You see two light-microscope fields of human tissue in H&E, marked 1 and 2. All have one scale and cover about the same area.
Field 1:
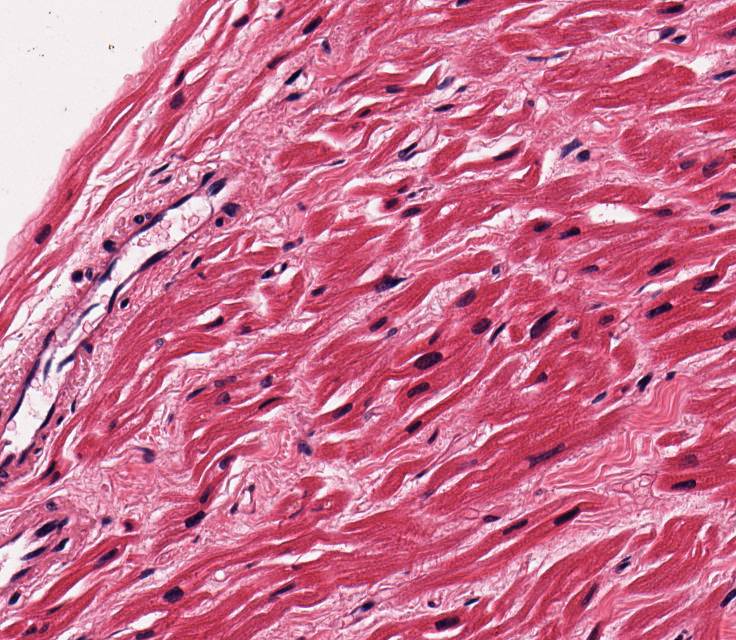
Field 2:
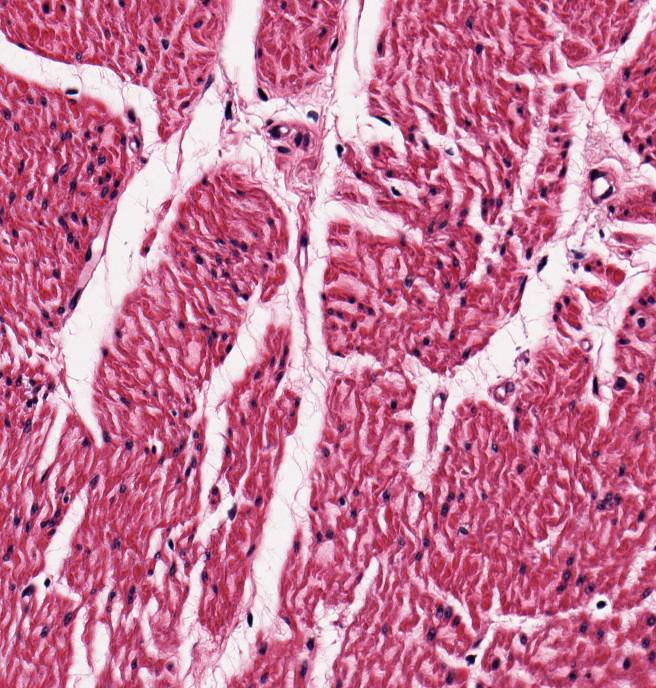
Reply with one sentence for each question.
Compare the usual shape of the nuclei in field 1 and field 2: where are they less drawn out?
Rounder nuclei lie in field 2.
